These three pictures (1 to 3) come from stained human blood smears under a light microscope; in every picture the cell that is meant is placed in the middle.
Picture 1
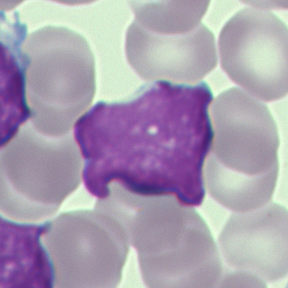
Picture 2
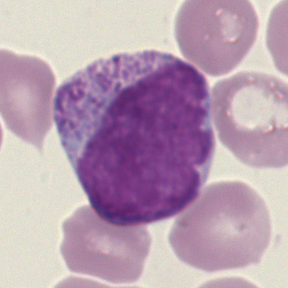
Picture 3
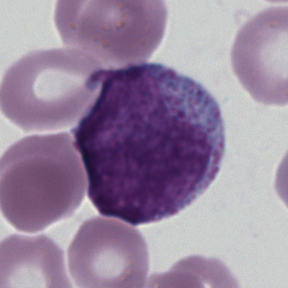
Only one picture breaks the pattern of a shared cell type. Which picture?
1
